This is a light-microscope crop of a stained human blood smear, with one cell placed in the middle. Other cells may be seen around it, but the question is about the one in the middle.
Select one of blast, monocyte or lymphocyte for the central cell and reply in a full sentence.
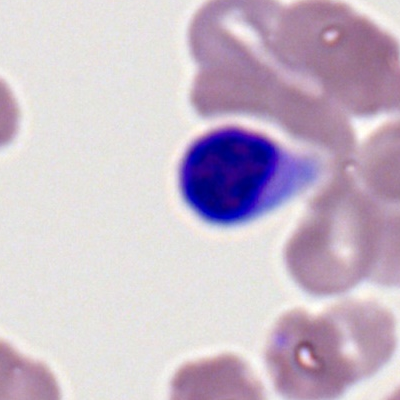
As for the cell in the middle, it is a lymphocyte.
